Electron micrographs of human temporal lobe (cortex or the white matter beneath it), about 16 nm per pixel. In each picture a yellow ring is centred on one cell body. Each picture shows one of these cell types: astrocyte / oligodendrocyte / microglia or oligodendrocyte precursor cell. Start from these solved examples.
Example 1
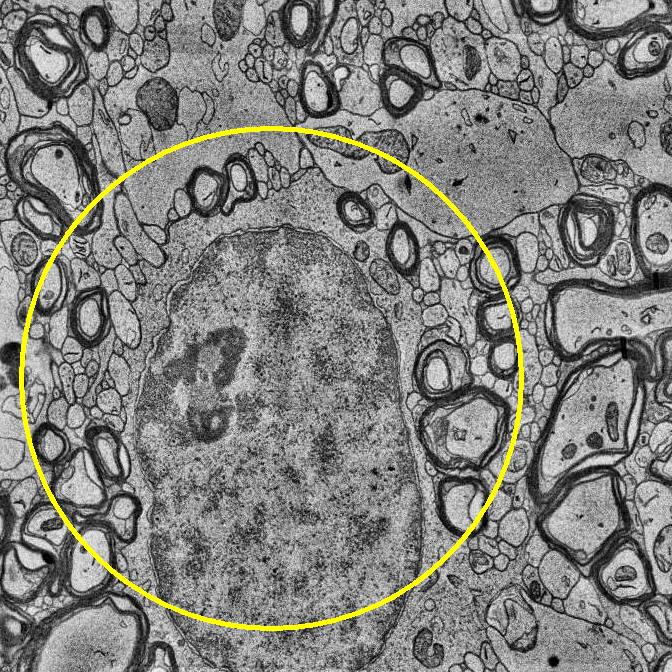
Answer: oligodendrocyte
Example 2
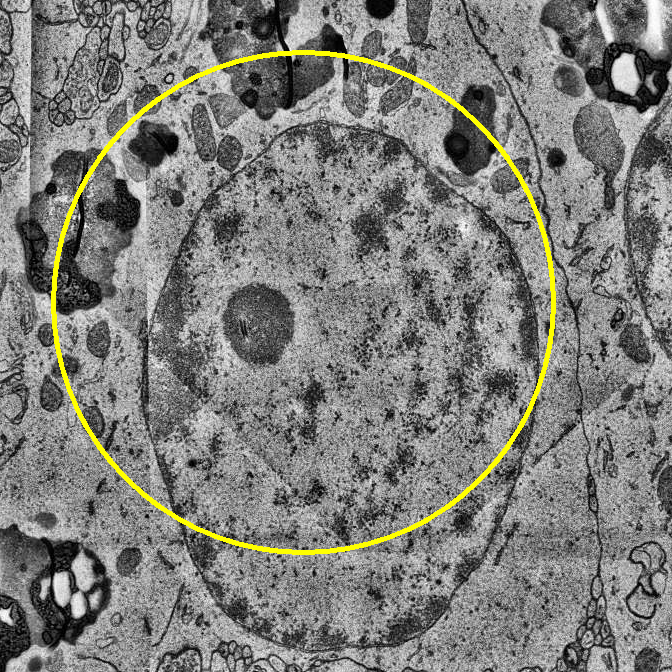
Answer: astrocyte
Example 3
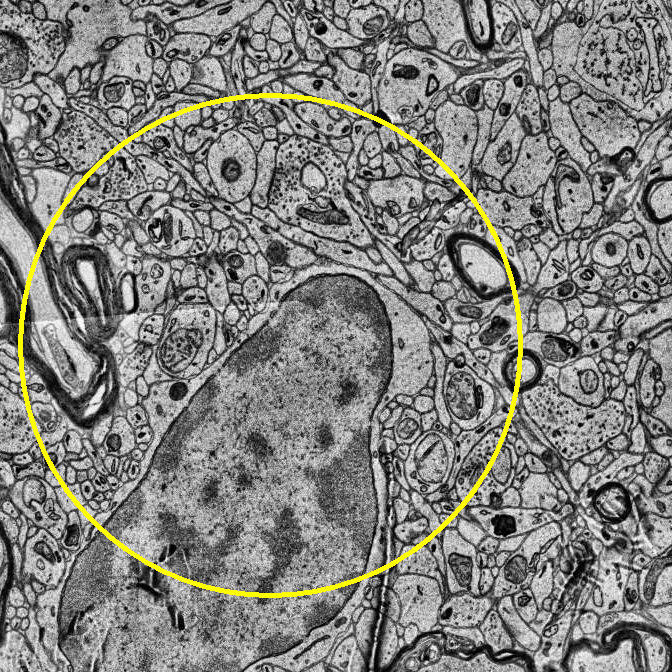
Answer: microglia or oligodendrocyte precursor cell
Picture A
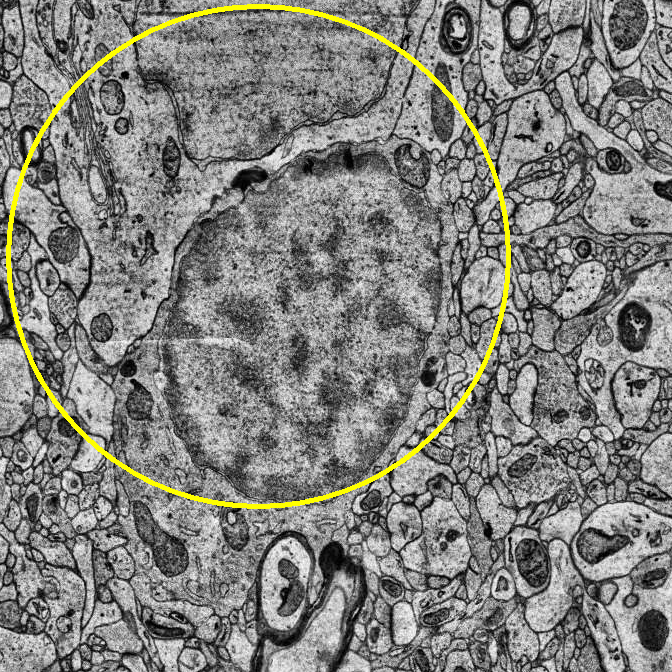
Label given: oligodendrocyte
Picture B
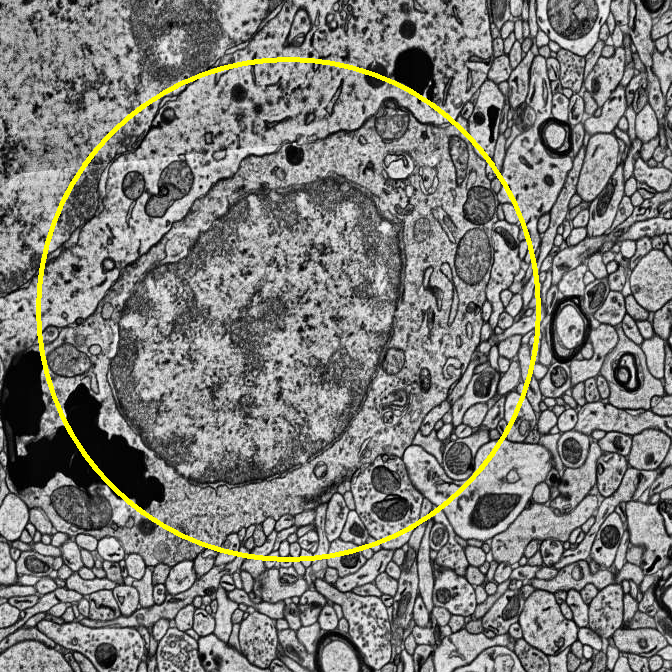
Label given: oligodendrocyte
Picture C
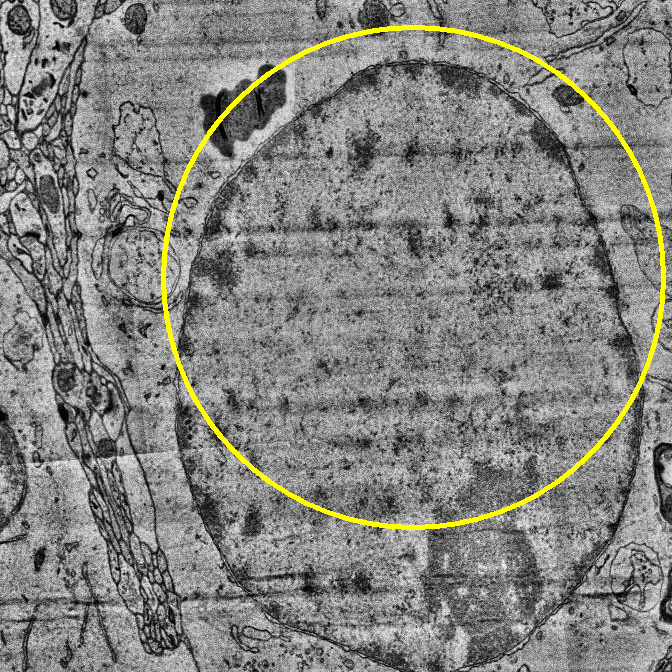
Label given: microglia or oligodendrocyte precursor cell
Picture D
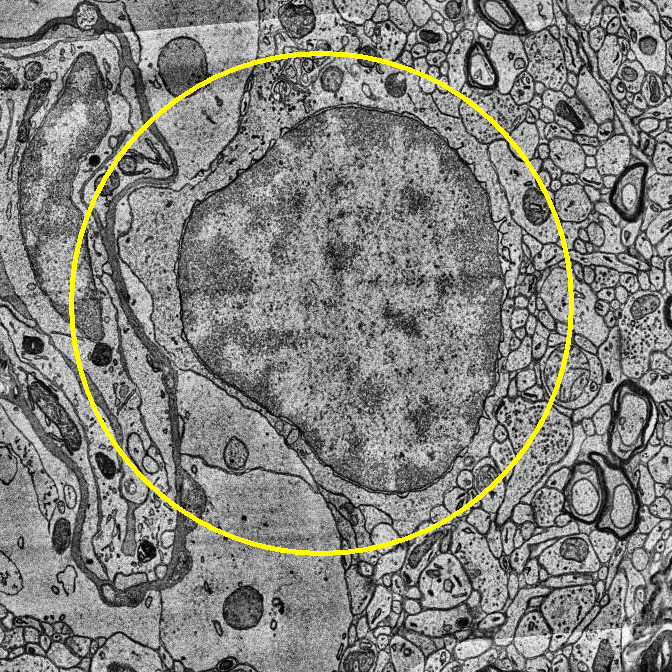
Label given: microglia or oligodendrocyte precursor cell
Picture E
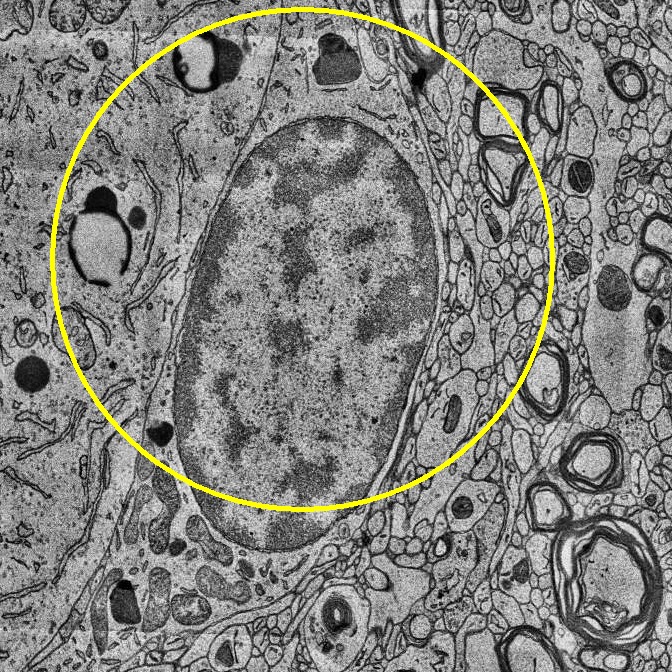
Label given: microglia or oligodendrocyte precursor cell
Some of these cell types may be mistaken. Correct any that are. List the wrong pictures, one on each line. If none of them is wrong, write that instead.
Wrong: C (microglia or oligodendrocyte precursor cell); correct: astrocyte
Wrong: D (microglia or oligodendrocyte precursor cell); correct: oligodendrocyte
